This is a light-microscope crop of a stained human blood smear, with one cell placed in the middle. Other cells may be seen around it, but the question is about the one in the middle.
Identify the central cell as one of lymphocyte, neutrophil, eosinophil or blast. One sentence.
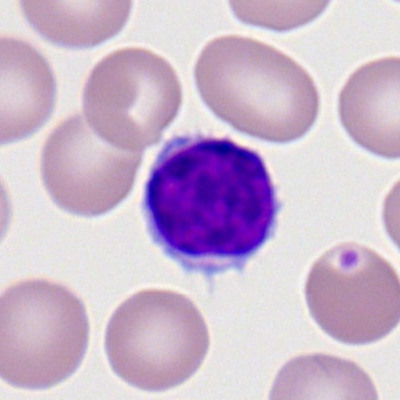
What the crop centres on is a lymphocyte.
